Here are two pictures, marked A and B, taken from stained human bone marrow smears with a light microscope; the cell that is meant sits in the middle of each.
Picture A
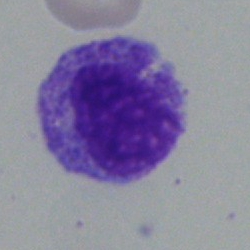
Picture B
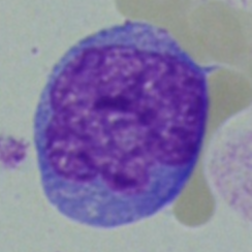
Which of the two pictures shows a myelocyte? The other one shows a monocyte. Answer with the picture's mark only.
A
